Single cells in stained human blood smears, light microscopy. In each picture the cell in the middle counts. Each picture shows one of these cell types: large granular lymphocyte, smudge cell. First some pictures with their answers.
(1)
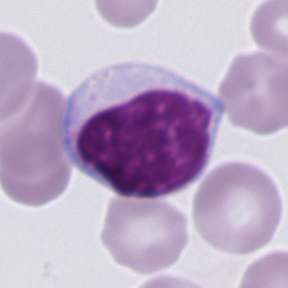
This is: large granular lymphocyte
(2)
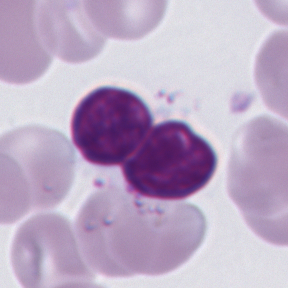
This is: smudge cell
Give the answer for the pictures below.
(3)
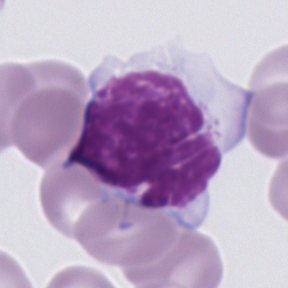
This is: large granular lymphocyte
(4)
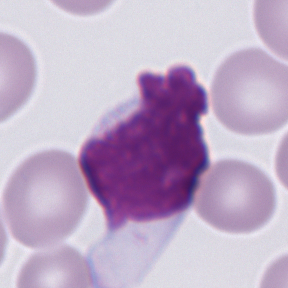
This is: large granular lymphocyte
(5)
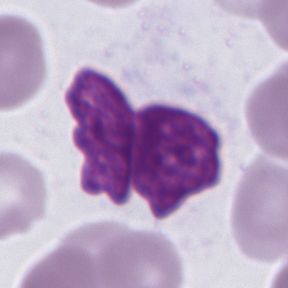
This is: smudge cell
